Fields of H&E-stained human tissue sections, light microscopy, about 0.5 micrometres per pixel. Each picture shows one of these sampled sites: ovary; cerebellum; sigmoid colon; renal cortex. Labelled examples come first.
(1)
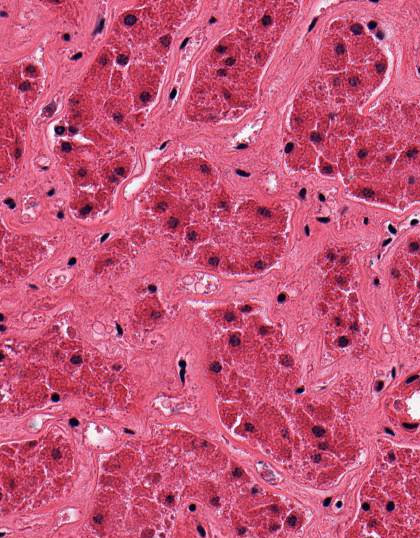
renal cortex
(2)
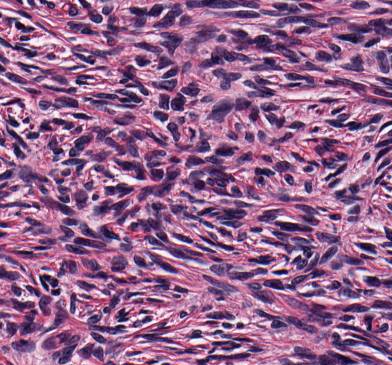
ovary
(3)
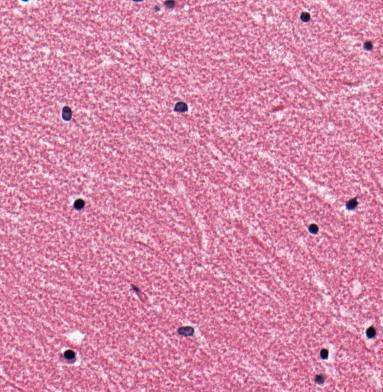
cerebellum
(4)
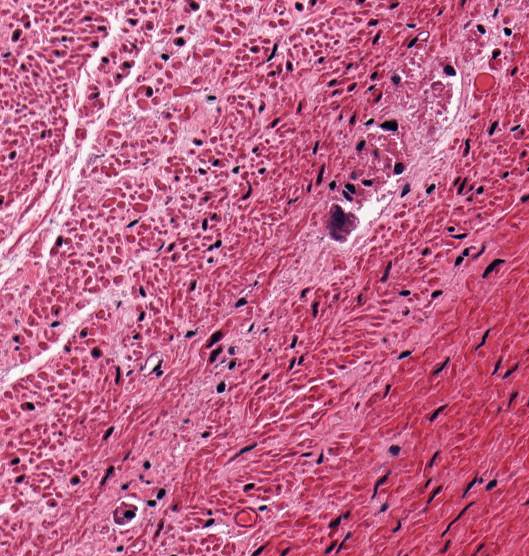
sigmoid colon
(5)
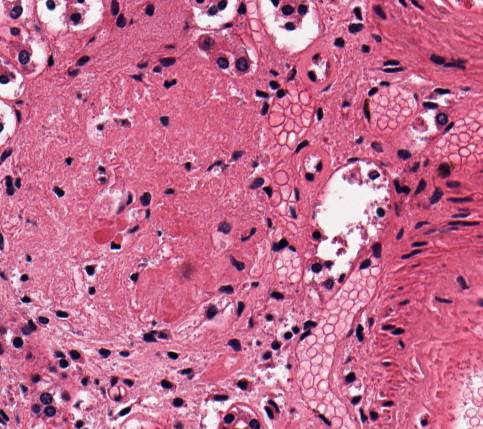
renal cortex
